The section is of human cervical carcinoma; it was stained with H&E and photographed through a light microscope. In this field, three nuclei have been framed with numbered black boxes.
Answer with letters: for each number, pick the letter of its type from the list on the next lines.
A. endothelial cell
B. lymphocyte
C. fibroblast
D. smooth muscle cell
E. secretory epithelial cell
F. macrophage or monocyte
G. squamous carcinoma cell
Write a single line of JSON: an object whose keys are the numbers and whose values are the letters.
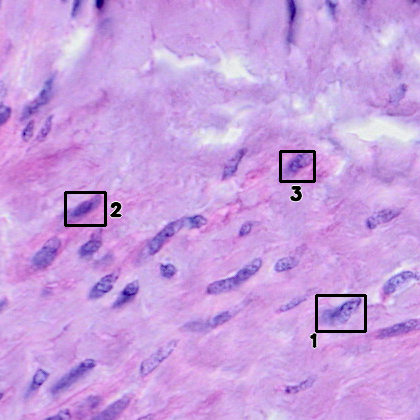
{"1": "C", "2": "D", "3": "D"}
